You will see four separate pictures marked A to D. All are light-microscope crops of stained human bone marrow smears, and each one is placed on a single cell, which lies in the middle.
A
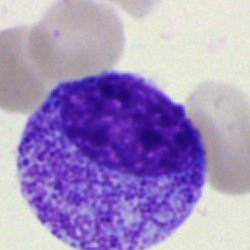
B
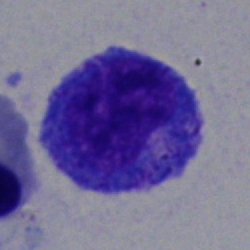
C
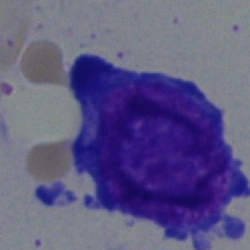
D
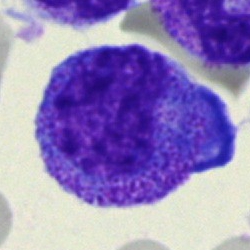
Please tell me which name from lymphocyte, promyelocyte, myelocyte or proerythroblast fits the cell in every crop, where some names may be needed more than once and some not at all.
A: myelocyte
B: promyelocyte
C: proerythroblast
D: promyelocyte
